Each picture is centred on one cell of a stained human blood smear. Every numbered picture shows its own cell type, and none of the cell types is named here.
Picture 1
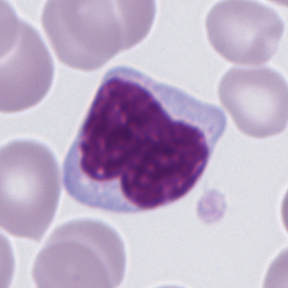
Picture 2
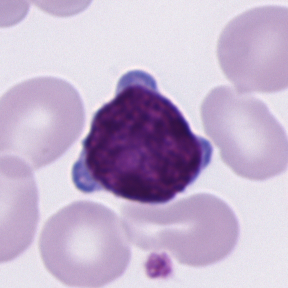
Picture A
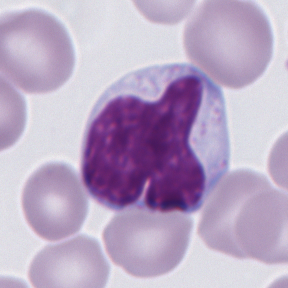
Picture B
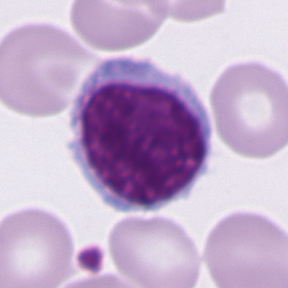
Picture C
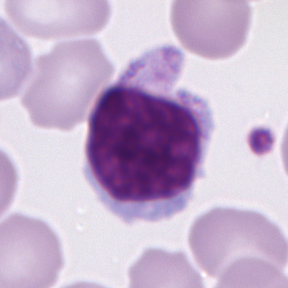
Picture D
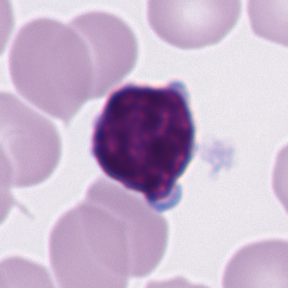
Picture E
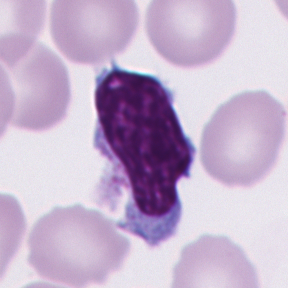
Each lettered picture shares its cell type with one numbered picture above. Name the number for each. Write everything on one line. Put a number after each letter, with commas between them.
A 1, B 2, C 2, D 2, E 2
